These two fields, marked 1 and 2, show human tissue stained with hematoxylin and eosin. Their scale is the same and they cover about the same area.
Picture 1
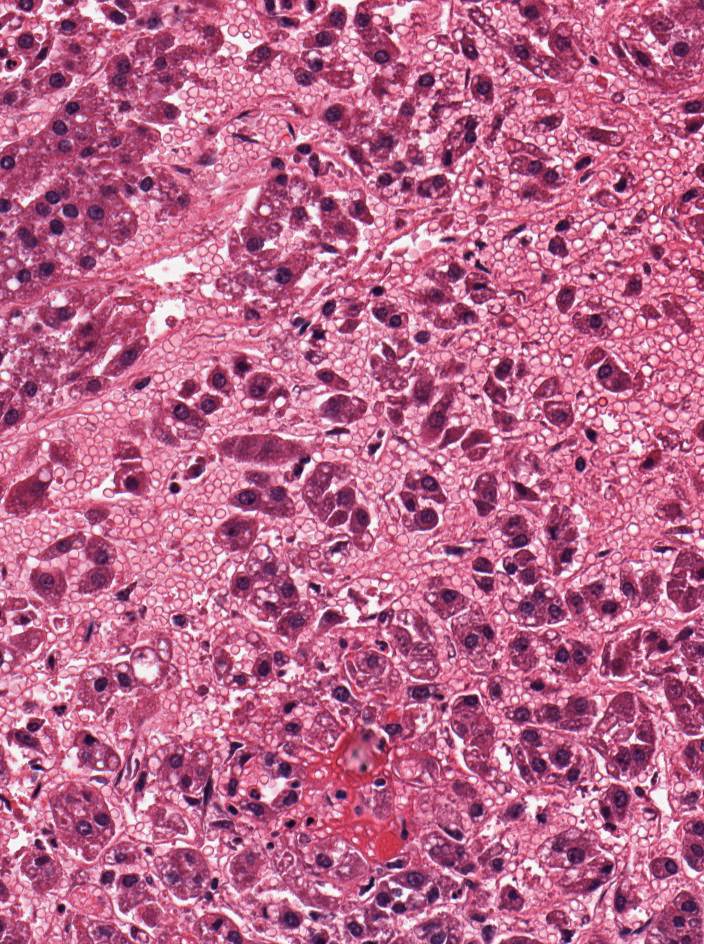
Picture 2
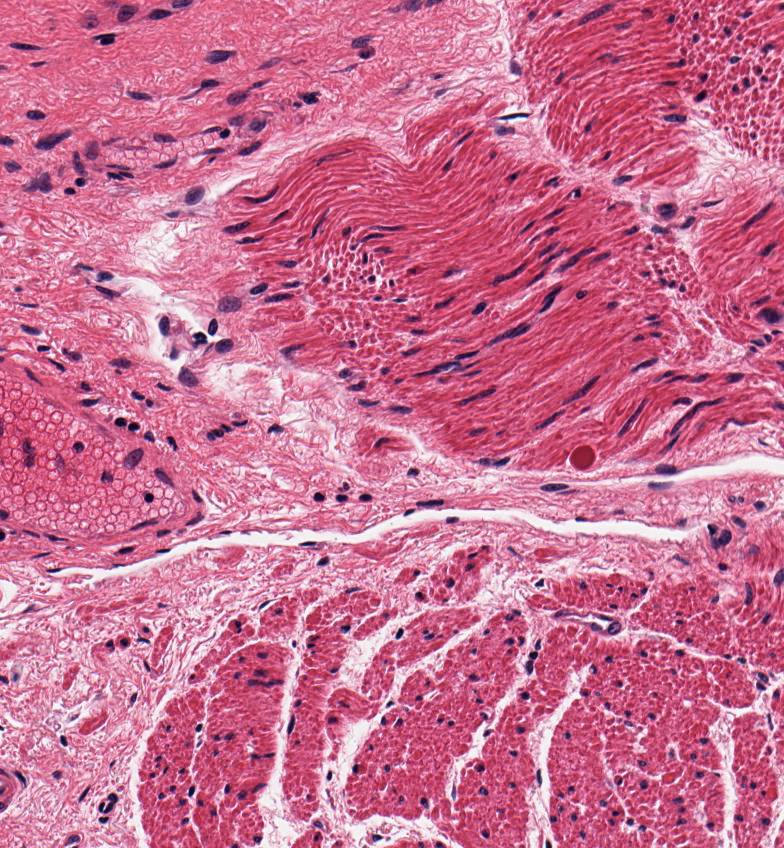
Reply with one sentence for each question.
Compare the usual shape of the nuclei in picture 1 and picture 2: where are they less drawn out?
Rounder nuclei lie in picture 1.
